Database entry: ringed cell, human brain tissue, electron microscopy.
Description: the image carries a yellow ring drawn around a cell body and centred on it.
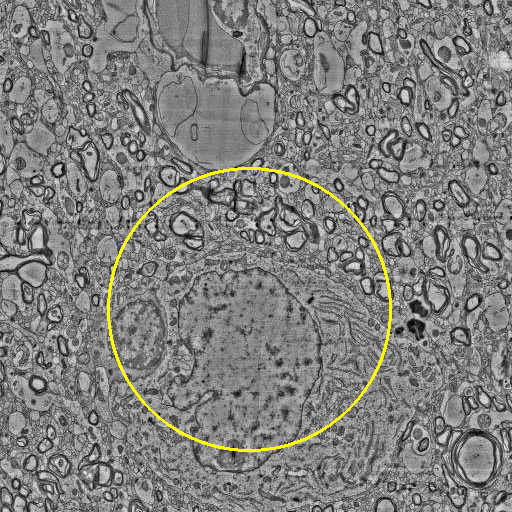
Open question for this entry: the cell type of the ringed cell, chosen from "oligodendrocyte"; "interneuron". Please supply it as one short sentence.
The ringed cell is an interneuron.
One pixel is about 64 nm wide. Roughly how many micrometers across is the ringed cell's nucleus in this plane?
In this plane the nucleus measures roughly 14 by 10 micrometres.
